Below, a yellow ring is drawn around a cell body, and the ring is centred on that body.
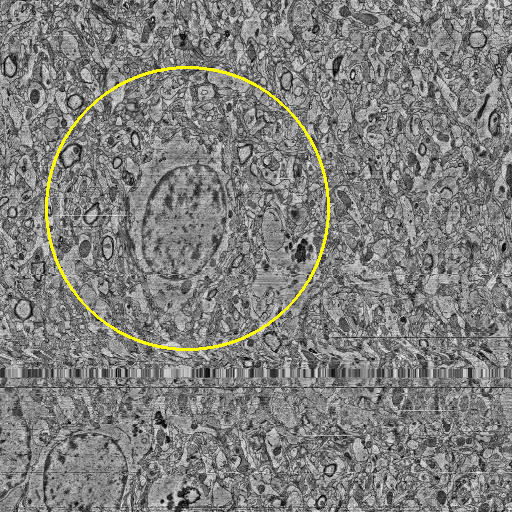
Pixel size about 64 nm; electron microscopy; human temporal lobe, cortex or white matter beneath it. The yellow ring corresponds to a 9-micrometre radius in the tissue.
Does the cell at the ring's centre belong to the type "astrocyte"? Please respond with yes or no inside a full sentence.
Yes, the centred cell inside the ring shown in the picture is of this type.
